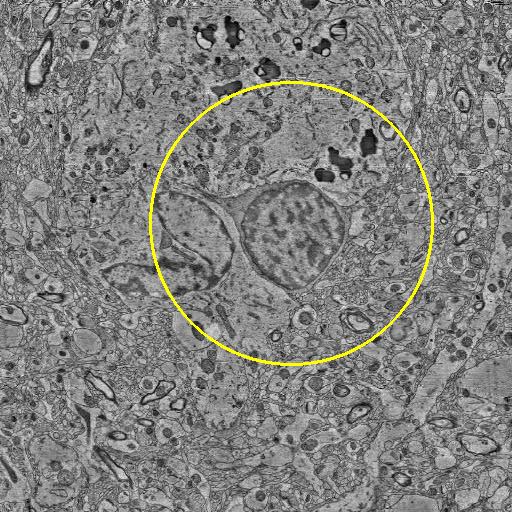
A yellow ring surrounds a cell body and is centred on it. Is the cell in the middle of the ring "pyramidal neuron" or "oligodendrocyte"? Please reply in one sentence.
The ring is centred on an oligodendrocyte.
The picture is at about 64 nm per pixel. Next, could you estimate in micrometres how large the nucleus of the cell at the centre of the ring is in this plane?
About 7 micrometers across, in this plane.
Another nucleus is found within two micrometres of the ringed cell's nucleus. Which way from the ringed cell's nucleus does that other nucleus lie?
The other nucleus is situated to the left of it.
